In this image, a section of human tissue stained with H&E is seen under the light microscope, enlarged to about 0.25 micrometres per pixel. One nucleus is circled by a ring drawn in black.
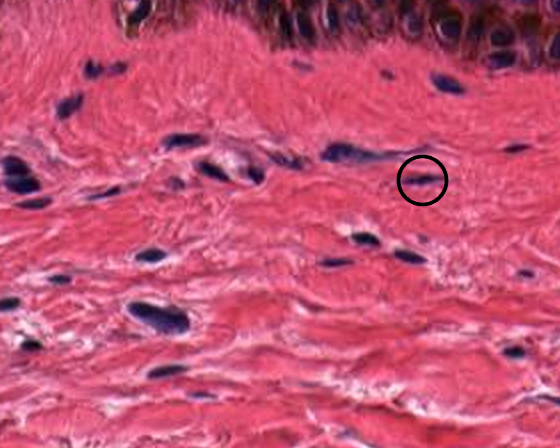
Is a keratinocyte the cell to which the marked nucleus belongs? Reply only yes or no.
no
